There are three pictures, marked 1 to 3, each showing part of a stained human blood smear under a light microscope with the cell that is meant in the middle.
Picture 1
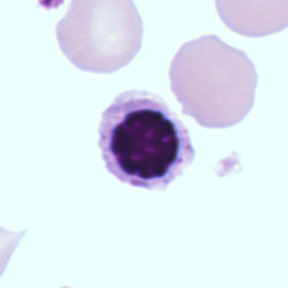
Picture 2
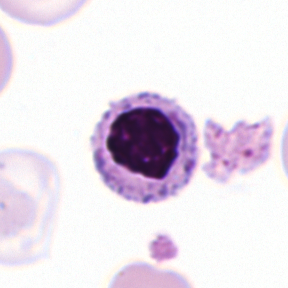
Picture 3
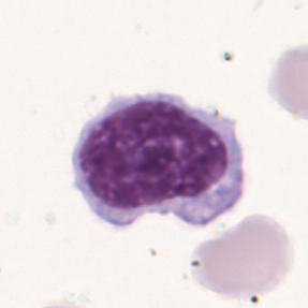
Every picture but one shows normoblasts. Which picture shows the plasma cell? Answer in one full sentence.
Picture 3 is the one that shows the plasma cell.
